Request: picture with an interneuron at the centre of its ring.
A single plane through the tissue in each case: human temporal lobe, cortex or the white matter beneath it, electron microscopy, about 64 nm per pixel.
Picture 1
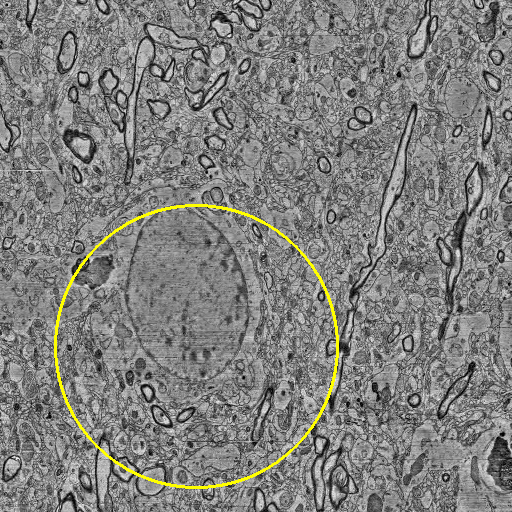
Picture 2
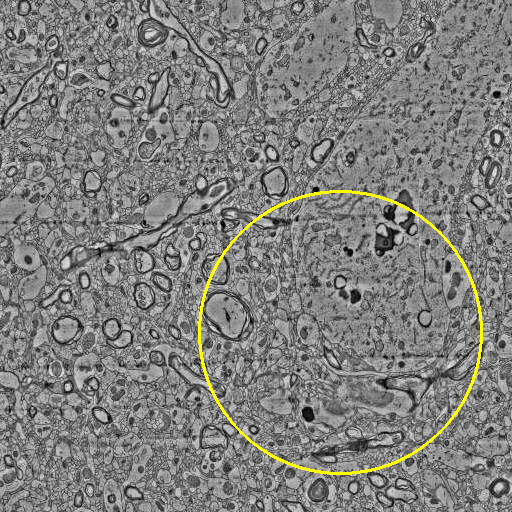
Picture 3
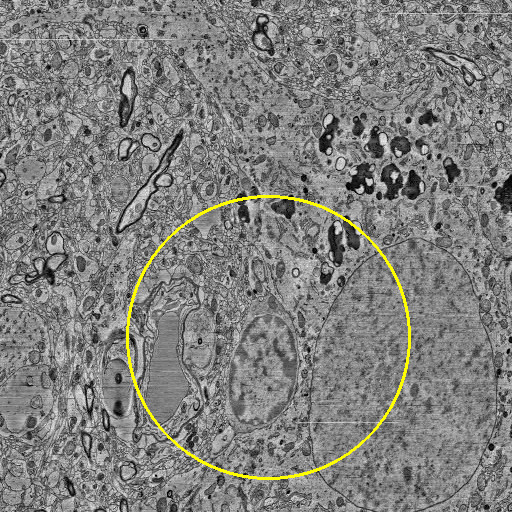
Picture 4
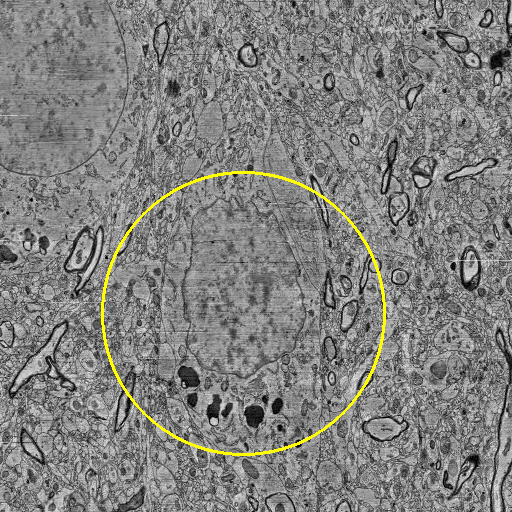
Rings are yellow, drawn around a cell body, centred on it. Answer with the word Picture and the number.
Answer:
Picture 4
